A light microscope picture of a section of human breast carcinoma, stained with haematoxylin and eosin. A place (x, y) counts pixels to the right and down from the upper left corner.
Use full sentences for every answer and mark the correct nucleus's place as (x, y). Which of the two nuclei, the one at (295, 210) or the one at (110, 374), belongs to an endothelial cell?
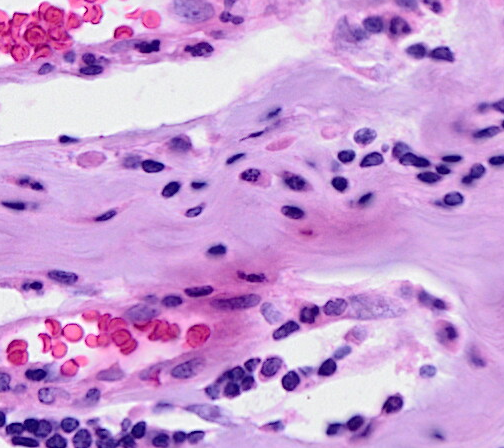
The nucleus of an endothelial cell is the one found at (110, 374), not the other.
